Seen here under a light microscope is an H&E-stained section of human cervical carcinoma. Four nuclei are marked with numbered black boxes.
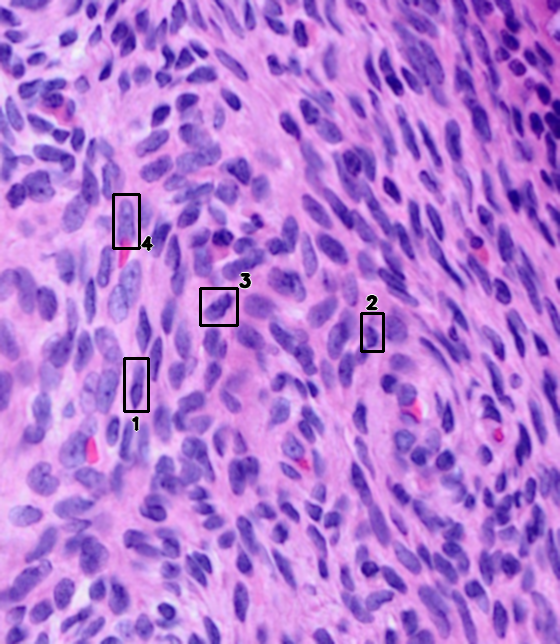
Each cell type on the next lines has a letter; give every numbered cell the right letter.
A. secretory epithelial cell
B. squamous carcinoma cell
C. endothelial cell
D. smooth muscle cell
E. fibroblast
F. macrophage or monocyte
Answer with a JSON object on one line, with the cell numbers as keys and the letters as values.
{"1": "E", "2": "E", "3": "E", "4": "C"}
